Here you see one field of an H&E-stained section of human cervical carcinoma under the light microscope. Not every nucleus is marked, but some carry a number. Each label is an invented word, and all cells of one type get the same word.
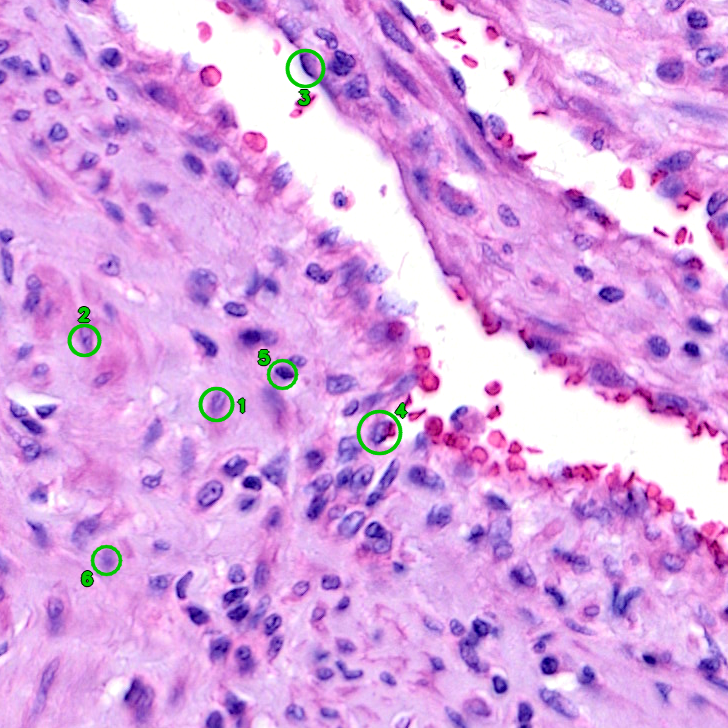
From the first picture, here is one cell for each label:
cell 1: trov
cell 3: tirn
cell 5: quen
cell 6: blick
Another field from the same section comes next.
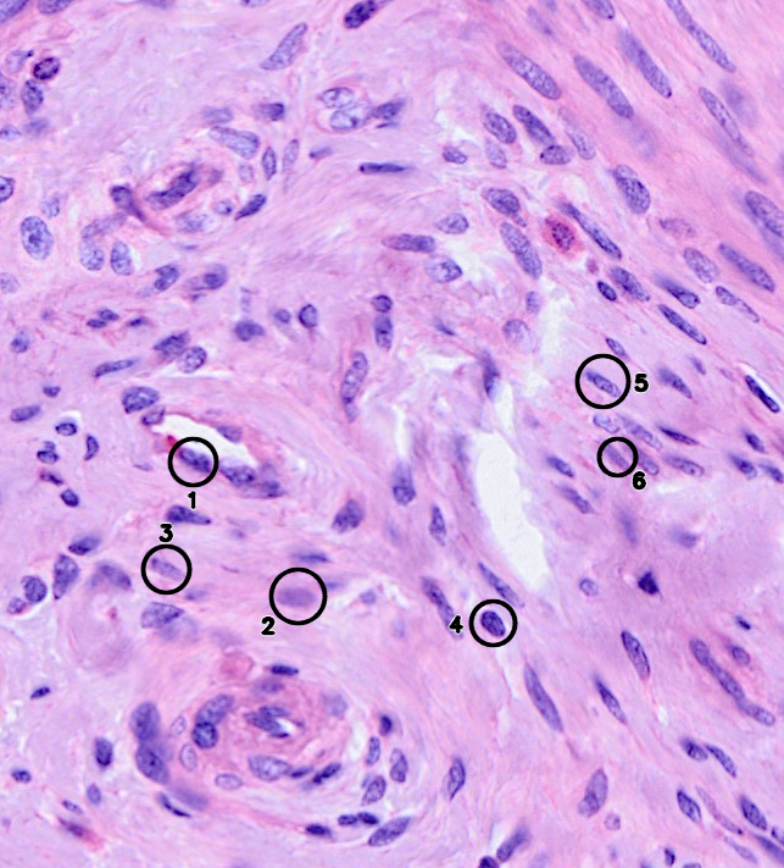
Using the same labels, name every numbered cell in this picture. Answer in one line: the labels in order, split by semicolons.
tirn; blick; blick; quen; blick; trov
